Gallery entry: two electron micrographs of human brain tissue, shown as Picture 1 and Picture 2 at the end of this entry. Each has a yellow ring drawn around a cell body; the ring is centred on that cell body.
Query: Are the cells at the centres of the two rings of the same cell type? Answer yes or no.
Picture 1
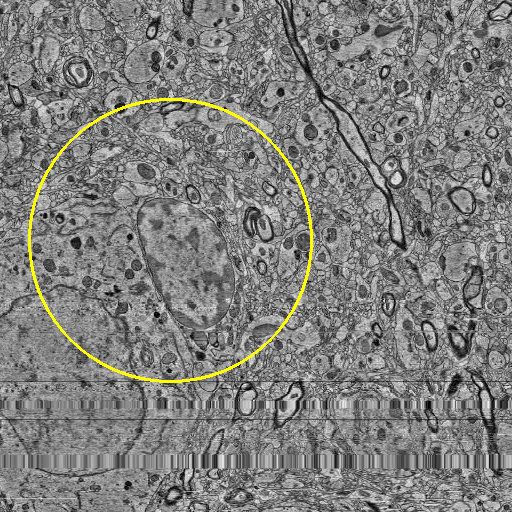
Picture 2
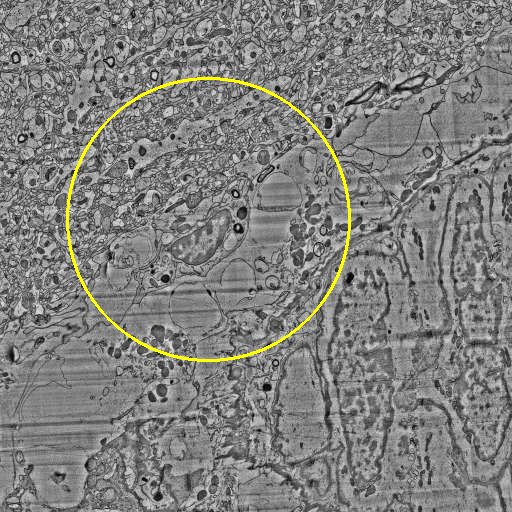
yes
